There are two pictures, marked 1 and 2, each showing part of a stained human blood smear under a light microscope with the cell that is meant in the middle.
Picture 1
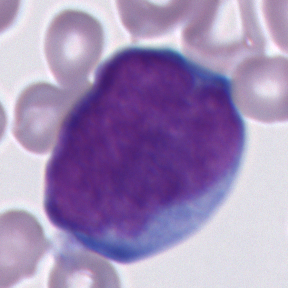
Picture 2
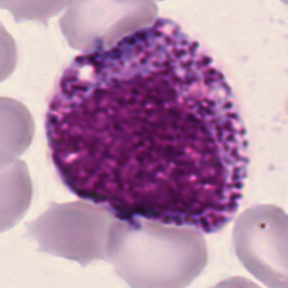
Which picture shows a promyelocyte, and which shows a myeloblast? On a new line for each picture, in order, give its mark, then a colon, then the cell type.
1: myeloblast
2: promyelocyte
